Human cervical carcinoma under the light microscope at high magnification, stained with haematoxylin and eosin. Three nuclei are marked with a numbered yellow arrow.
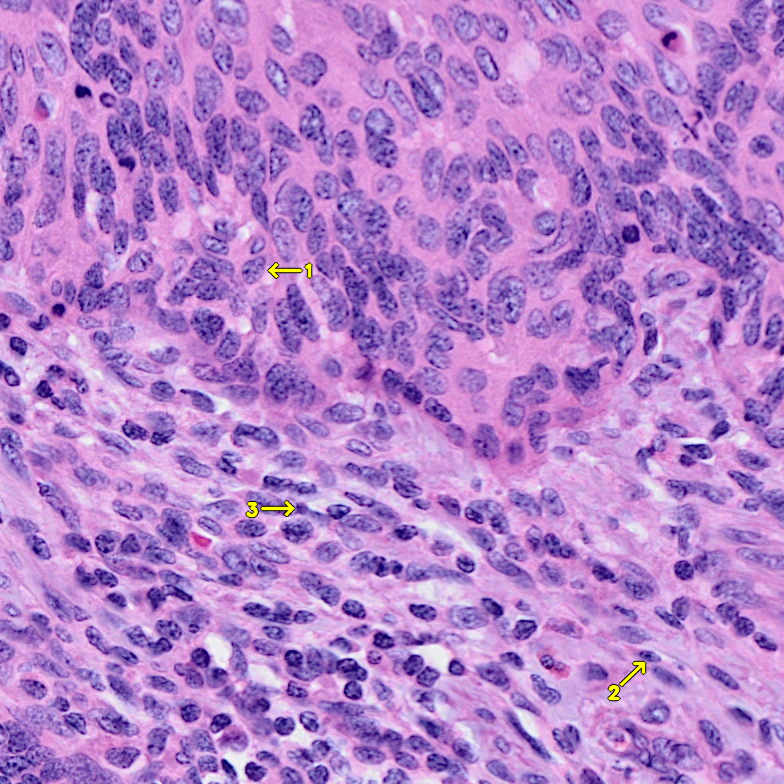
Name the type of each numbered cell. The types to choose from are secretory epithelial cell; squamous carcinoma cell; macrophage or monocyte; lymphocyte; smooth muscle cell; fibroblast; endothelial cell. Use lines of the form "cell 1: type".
cell 1: squamous carcinoma cell
cell 2: lymphocyte
cell 3: lymphocyte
